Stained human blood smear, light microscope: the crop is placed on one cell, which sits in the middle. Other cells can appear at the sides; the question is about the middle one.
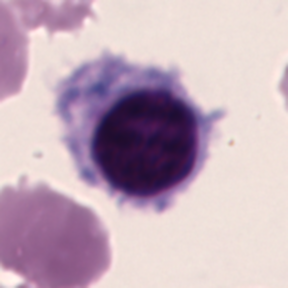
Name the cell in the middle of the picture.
hairy cell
